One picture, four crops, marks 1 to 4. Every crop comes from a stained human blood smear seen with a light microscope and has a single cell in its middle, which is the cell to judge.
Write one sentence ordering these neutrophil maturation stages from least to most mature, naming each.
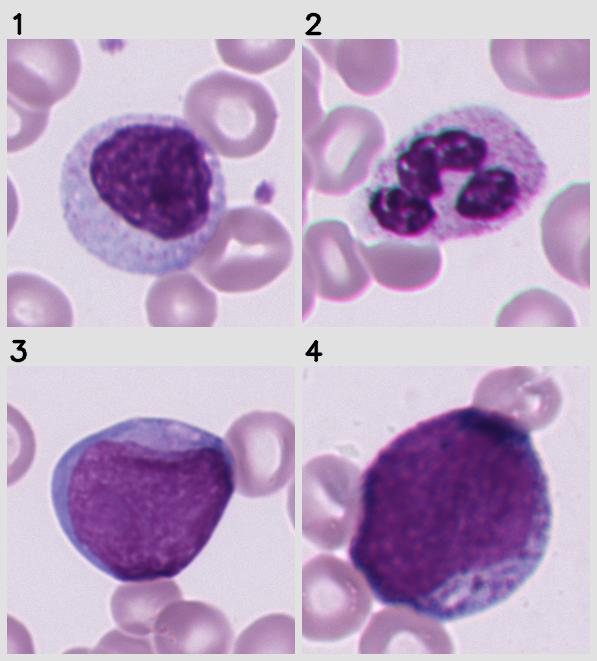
The sequence from earliest to most advanced maturity is crop 3 (a myeloblast), crop 4 (a promyelocyte), crop 1 (a metamyelocyte) and crop 2 (a segmented neutrophil).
